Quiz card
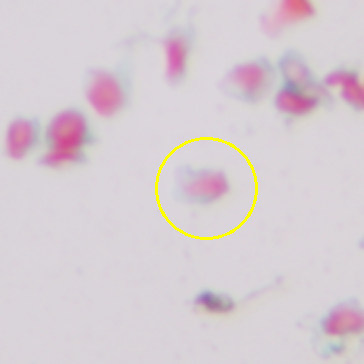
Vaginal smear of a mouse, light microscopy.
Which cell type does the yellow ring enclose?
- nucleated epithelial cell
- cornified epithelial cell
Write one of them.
nucleated epithelial cell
